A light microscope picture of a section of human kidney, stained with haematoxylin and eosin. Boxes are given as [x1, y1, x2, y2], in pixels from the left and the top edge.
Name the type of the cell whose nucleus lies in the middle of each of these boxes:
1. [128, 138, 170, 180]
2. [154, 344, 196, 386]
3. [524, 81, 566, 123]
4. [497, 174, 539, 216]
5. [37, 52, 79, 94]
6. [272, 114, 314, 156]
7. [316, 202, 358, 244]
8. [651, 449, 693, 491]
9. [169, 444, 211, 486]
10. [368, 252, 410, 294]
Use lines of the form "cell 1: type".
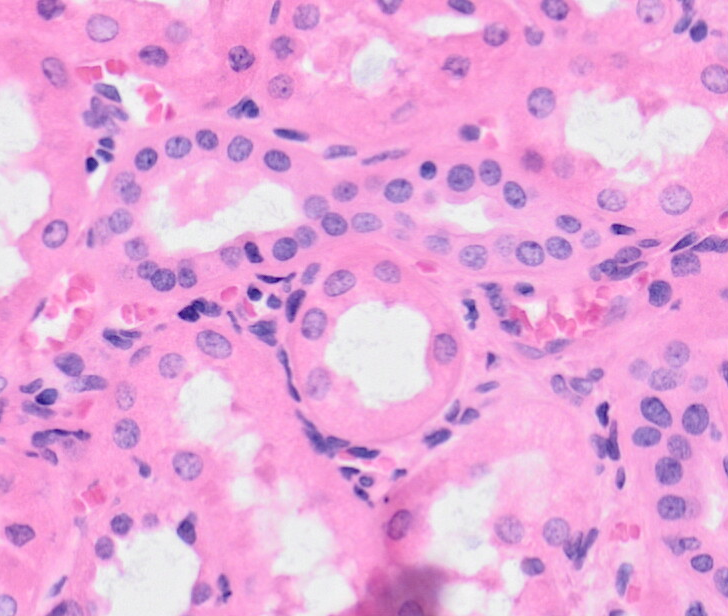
cell 1: collecting duct cell
cell 2: proximal tubule cell
cell 3: proximal tubule cell
cell 4: collecting duct cell
cell 5: proximal tubule cell
cell 6: endothelial cell
cell 7: collecting duct cell
cell 8: collecting duct cell
cell 9: proximal tubule cell
cell 10: proximal tubule cell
